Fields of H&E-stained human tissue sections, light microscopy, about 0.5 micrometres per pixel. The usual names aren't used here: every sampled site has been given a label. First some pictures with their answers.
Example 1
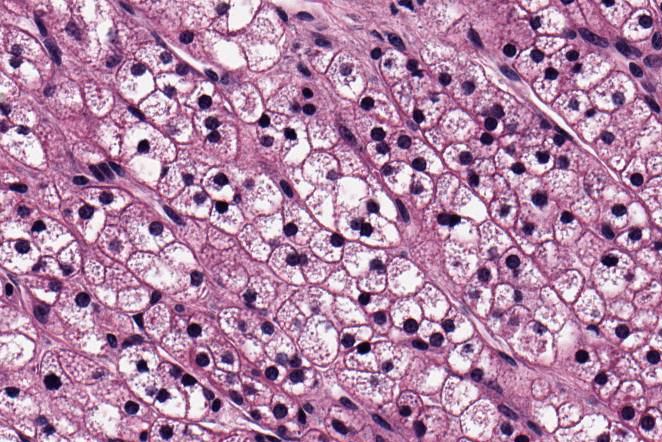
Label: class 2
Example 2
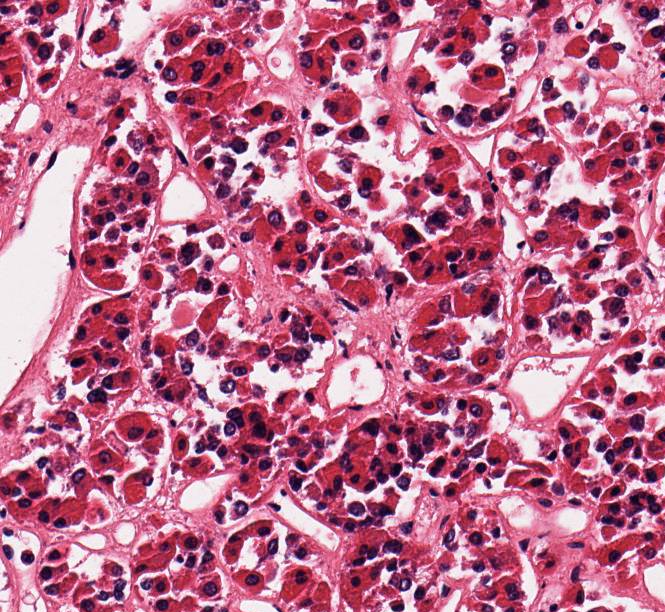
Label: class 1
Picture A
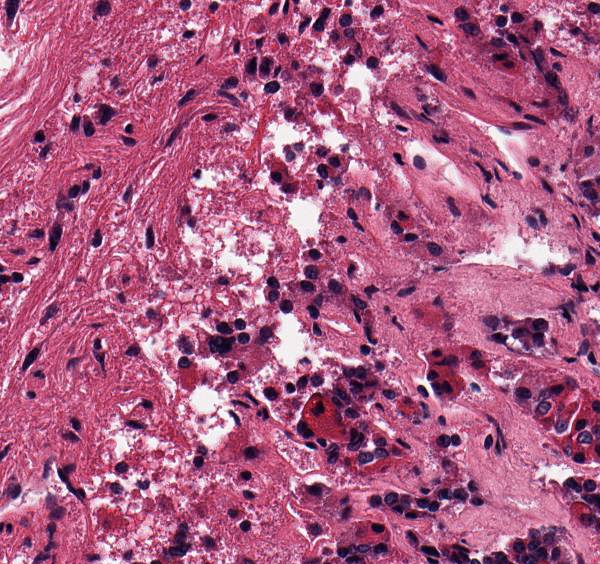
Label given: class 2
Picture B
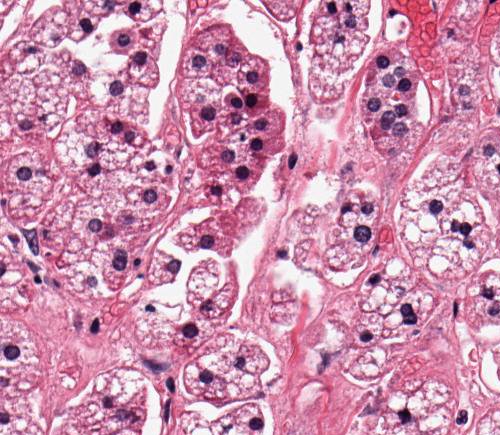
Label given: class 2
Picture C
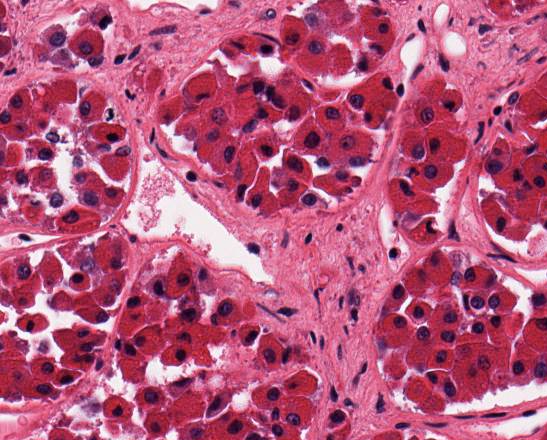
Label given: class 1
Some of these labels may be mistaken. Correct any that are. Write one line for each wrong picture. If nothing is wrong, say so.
A: change class 2 to class 1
